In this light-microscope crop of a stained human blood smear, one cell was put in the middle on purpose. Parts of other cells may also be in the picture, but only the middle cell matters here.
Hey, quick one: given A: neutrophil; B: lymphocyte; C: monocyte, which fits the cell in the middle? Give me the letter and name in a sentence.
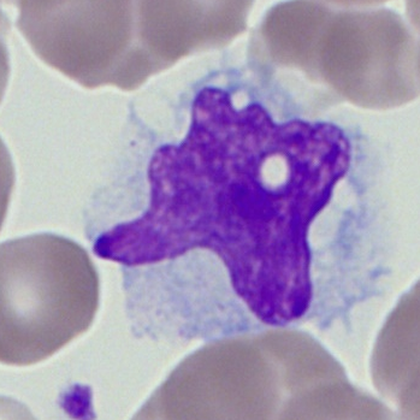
In this crop the central cell is a monocyte, which option C correctly states.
